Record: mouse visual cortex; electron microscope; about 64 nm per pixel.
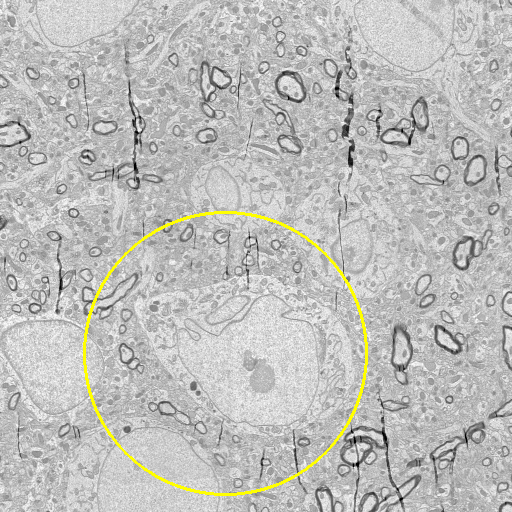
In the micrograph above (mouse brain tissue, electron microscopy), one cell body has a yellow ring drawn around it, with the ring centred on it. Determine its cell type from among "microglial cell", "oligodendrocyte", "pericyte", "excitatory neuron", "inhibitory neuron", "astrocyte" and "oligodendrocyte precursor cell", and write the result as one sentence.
The cell whose body is ringed is an inhibitory neuron.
